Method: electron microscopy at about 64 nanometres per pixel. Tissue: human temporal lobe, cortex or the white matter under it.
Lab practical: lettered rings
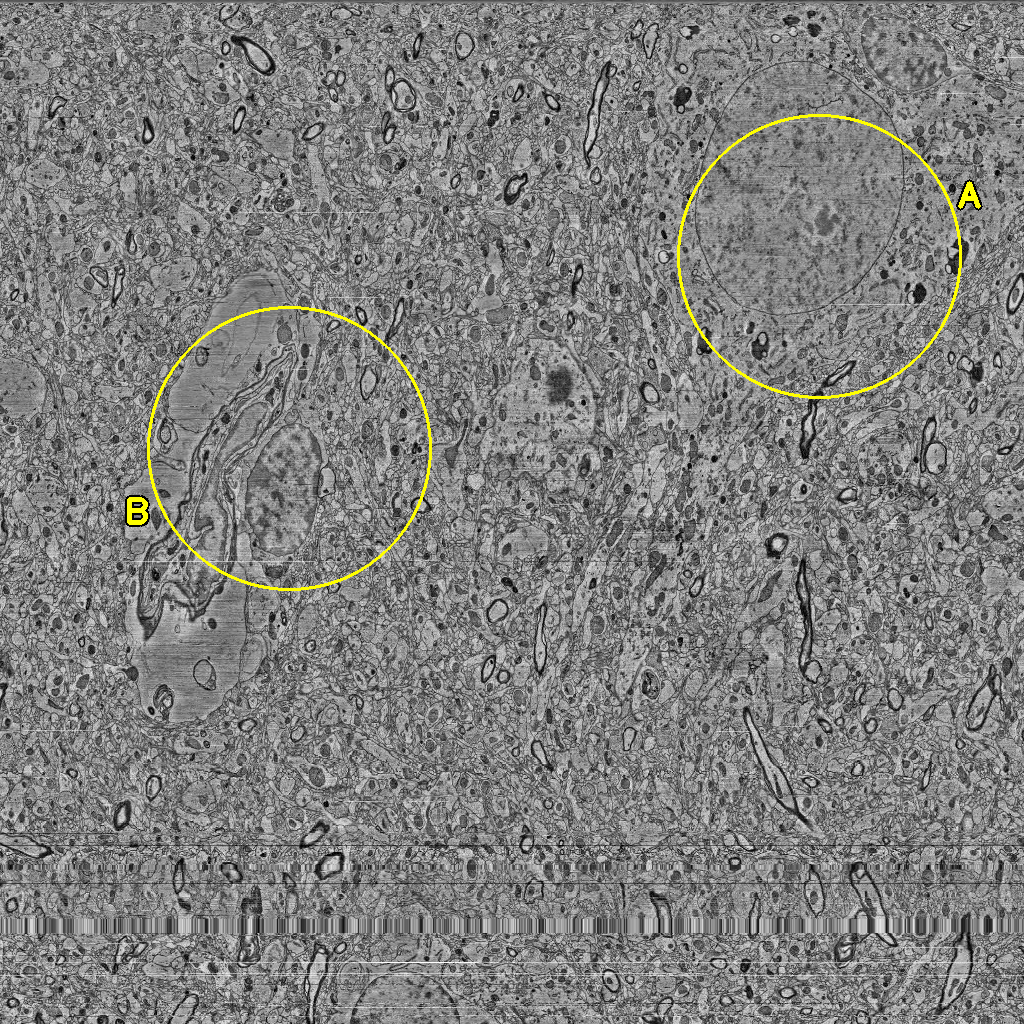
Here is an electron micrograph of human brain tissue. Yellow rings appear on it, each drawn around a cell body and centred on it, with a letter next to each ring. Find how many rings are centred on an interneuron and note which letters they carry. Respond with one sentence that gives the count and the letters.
Counting the rings centred on an interneuron gives zero, as there are none.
